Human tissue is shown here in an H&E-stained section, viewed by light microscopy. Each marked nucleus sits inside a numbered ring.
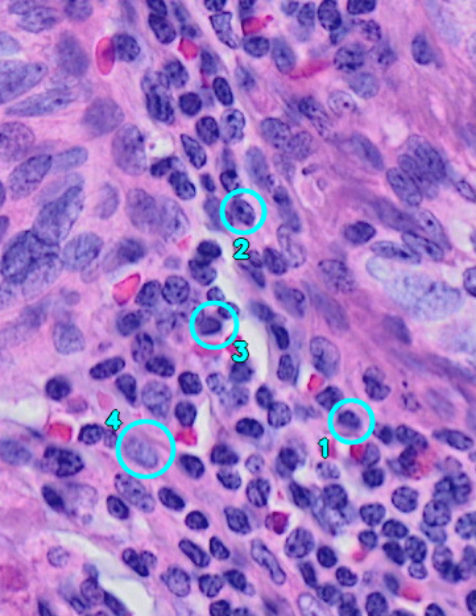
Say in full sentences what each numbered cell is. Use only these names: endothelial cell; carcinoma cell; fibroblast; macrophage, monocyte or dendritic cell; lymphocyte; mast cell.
Cell 1 is a lymphocyte, cell 2 is a lymphocyte, cell 3 is a lymphocyte and cell 4 is an endothelial cell.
